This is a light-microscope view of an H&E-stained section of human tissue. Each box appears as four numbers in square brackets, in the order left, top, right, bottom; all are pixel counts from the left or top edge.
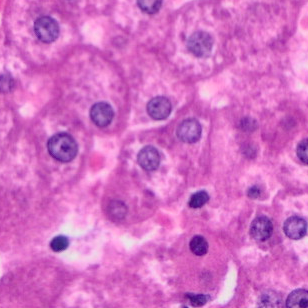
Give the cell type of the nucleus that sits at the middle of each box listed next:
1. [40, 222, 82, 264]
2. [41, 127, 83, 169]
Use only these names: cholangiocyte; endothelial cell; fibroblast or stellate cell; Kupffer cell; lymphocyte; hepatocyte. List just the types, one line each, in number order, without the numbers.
lymphocyte
hepatocyte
